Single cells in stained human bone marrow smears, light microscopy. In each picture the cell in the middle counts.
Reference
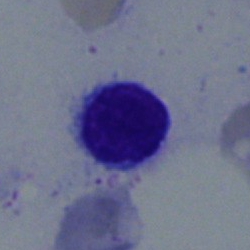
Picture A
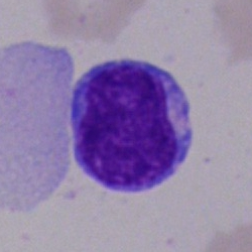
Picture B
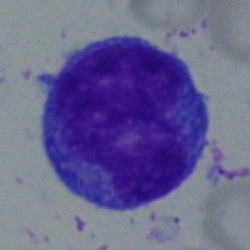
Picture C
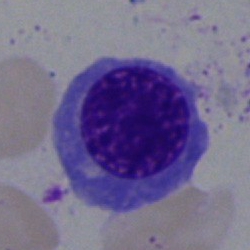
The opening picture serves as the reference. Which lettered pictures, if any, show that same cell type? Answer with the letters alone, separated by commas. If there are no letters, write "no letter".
no letter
